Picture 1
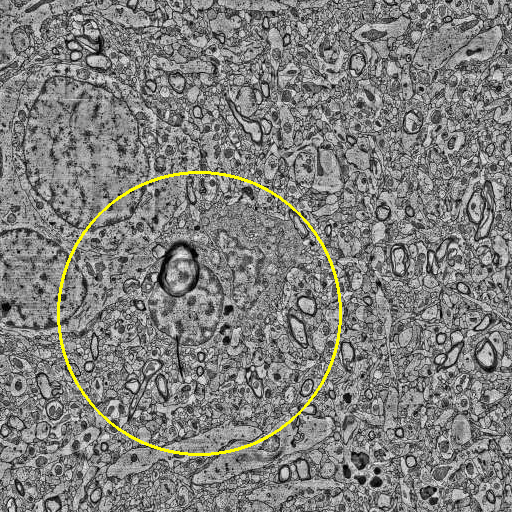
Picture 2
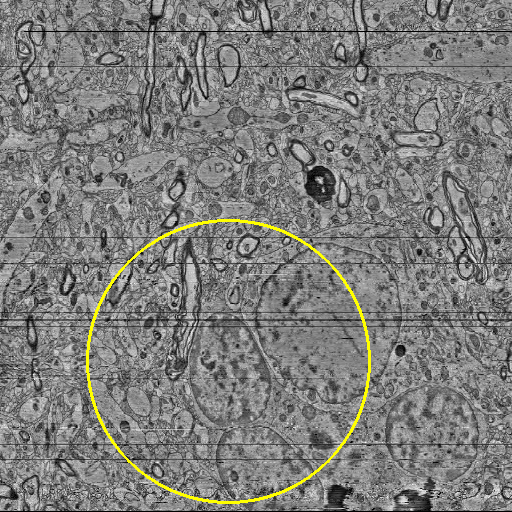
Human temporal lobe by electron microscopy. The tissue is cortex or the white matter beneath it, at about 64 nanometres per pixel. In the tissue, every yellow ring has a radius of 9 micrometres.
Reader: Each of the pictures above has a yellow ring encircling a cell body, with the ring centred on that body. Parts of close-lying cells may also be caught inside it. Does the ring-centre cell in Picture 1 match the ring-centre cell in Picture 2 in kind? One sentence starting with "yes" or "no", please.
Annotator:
Yes, Picture 1 and Picture 2 show ring-centre cells of a single kind.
